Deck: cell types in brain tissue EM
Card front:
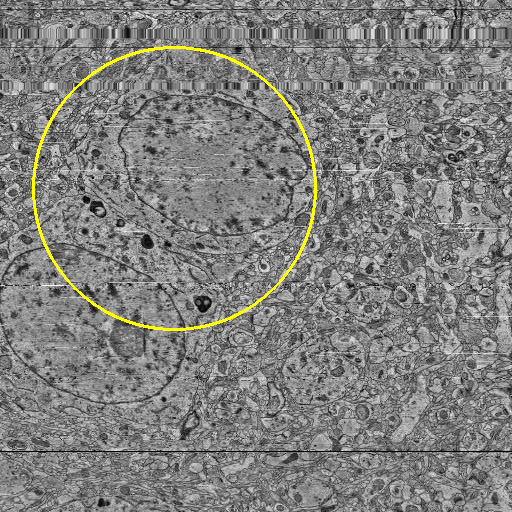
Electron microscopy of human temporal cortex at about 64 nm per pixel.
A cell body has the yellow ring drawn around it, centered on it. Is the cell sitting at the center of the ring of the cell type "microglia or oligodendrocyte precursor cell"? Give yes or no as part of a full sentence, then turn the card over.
No, on this card the yellow ring is centered on a cell of a different type.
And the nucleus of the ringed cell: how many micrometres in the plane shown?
In this plane, about 12 micrometres in length and 9 in width.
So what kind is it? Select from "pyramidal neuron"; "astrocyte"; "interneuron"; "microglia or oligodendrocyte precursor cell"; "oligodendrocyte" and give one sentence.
At the centre of the ring sits a pyramidal neuron.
